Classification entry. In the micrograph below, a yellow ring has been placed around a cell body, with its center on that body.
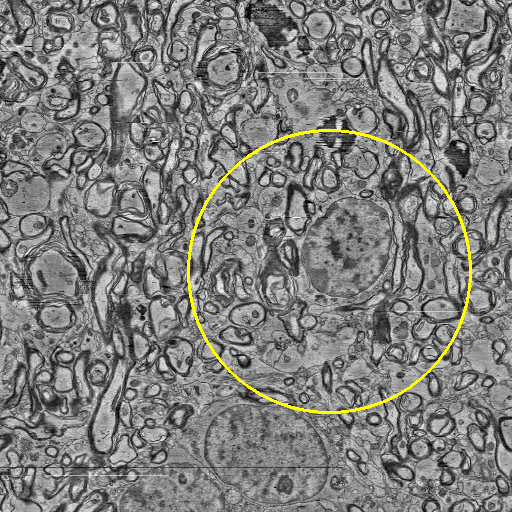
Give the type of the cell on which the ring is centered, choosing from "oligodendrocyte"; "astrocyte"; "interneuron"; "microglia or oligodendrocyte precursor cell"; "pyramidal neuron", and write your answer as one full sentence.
The cell body at the center of the yellow ring belongs to a microglial cell or oligodendrocyte precursor cell.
